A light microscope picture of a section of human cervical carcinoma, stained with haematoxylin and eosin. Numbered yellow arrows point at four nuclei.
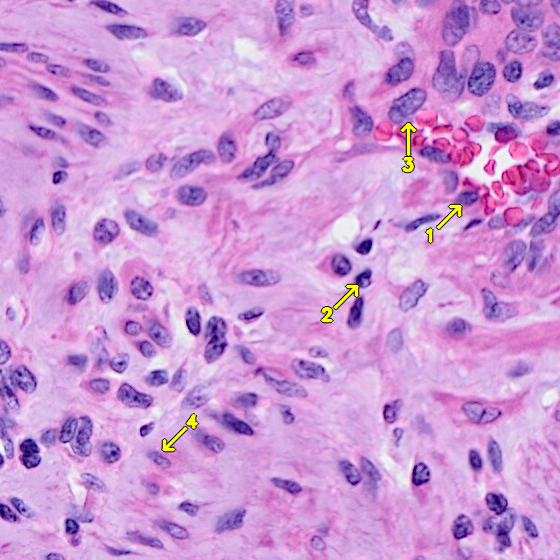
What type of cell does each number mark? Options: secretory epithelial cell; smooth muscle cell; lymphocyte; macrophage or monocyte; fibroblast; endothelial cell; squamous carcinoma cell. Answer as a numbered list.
1. endothelial cell
2. lymphocyte
3. endothelial cell
4. smooth muscle cell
